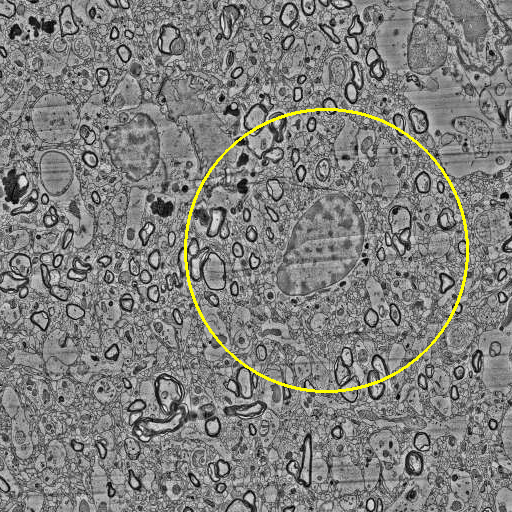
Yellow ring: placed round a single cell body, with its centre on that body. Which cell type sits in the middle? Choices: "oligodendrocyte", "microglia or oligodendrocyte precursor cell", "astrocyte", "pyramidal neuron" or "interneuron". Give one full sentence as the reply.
It is a microglial cell or oligodendrocyte precursor cell whose cell body sits at the centre of the yellow ring.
